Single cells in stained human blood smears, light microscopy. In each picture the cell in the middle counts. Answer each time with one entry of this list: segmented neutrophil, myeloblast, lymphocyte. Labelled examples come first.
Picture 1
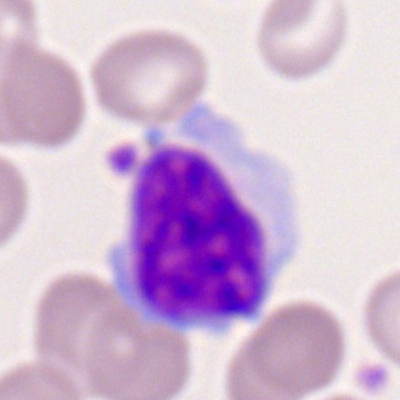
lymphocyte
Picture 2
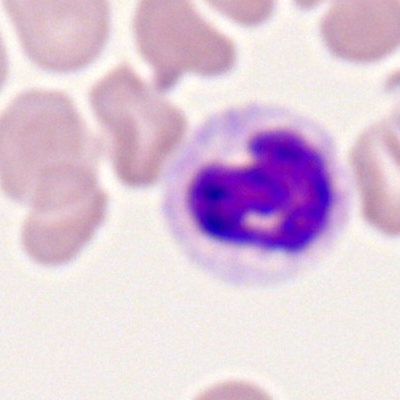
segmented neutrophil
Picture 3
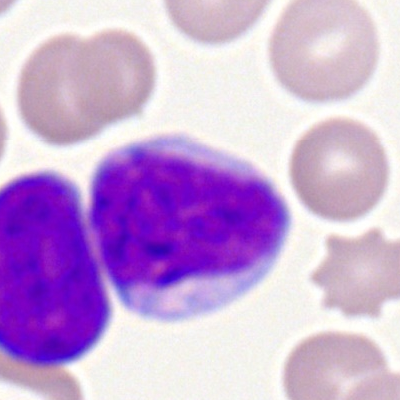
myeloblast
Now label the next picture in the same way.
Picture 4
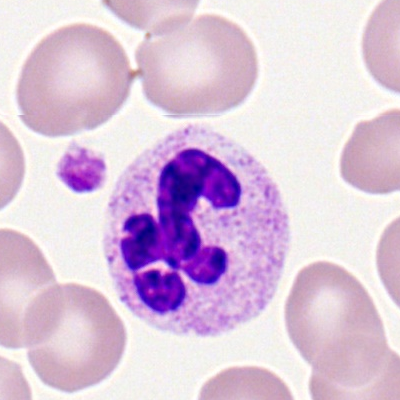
segmented neutrophil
